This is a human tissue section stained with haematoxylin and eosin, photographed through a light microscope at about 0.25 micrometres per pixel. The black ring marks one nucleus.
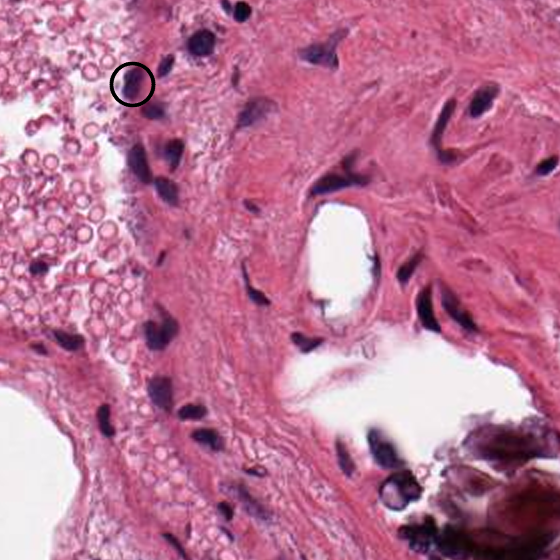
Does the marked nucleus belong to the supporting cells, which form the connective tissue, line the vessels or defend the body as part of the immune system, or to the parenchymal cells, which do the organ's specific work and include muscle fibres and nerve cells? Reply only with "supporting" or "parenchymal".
supporting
